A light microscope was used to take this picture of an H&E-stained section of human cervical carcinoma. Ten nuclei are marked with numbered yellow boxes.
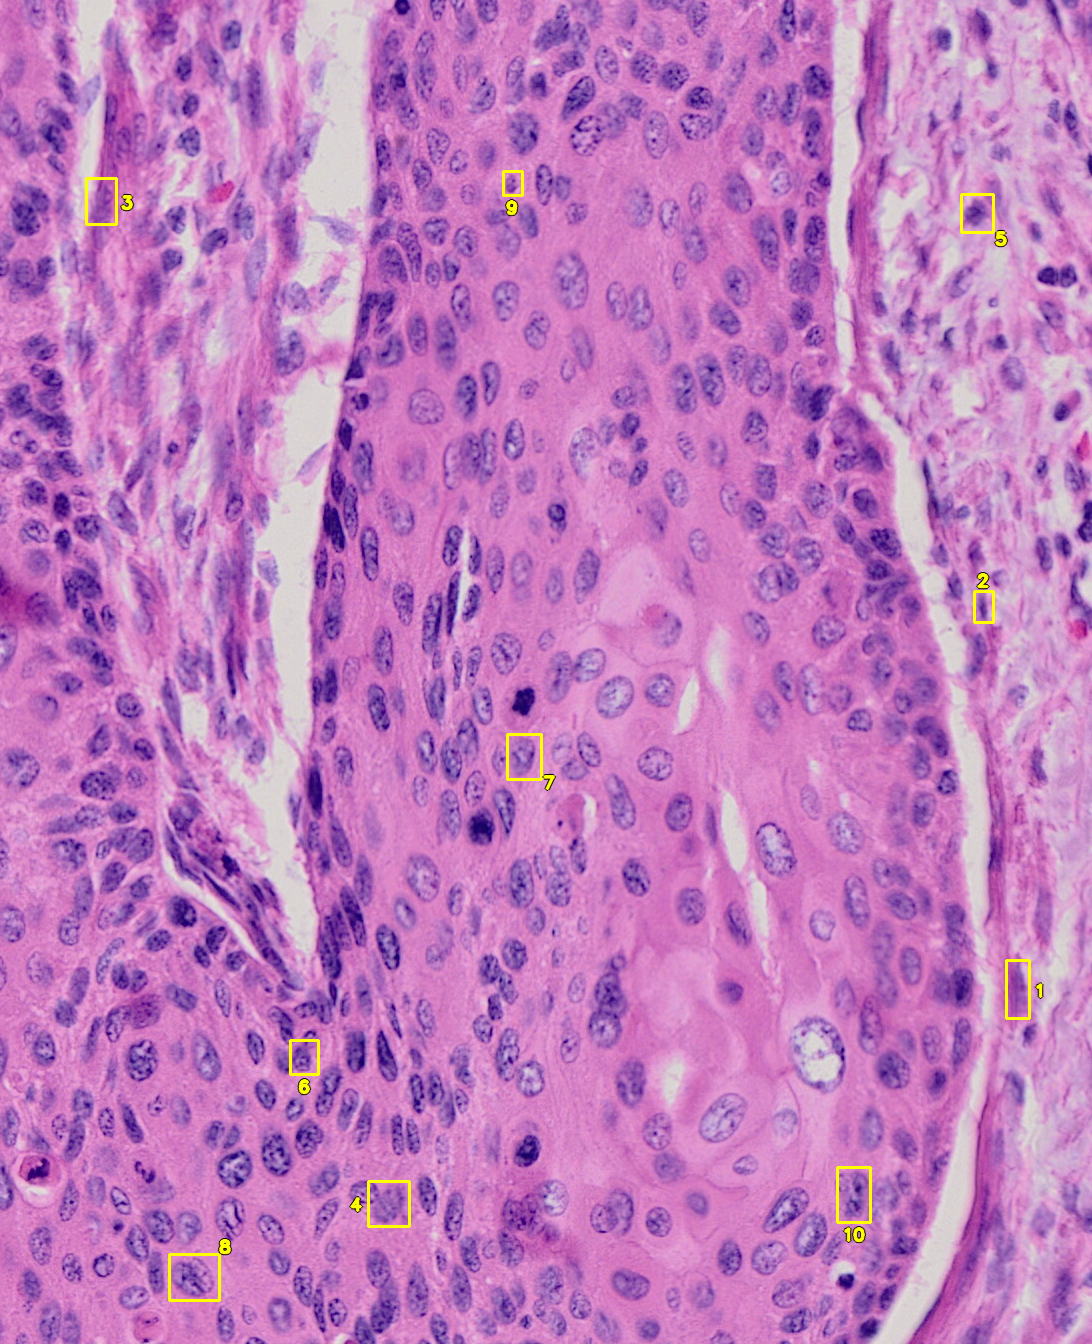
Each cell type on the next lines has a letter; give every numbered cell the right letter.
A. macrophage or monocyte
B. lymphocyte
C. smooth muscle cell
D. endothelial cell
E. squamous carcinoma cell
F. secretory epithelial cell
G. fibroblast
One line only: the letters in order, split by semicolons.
G; G; G; E; A; E; E; E; E; E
